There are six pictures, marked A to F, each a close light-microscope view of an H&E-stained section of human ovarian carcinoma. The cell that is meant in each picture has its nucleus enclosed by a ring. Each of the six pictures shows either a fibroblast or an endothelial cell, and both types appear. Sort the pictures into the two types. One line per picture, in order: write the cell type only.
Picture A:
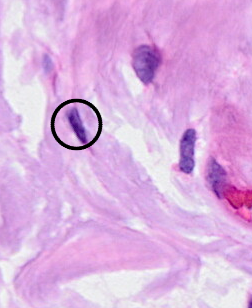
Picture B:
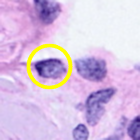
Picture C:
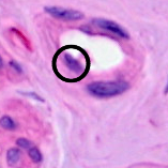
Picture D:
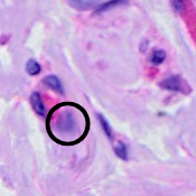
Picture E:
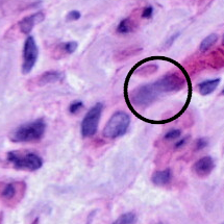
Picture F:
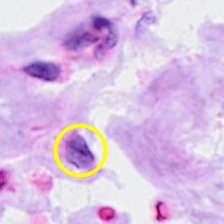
fibroblast
endothelial cell
endothelial cell
endothelial cell
endothelial cell
fibroblast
